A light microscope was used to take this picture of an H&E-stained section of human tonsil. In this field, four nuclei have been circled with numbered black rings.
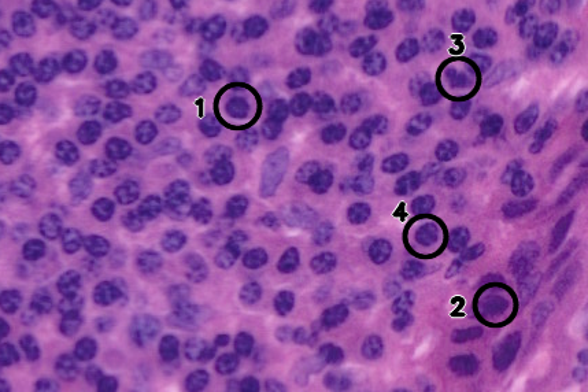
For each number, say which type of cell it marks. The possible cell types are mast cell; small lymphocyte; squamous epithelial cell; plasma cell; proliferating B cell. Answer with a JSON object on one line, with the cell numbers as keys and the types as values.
{"1": "plasma cell", "2": "squamous epithelial cell", "3": "plasma cell", "4": "plasma cell"}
